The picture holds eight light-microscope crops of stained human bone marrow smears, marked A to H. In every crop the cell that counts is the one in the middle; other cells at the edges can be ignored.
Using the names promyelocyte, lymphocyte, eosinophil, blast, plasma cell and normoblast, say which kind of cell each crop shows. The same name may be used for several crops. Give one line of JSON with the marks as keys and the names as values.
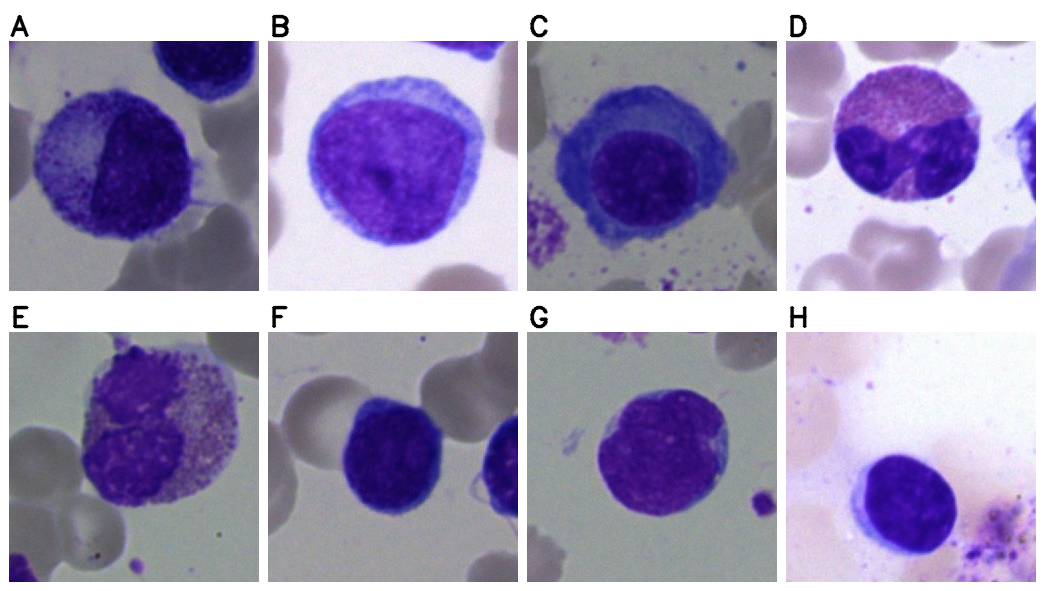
{"A": "promyelocyte", "B": "blast", "C": "plasma cell", "D": "eosinophil", "E": "eosinophil", "F": "lymphocyte", "G": "blast", "H": "lymphocyte"}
